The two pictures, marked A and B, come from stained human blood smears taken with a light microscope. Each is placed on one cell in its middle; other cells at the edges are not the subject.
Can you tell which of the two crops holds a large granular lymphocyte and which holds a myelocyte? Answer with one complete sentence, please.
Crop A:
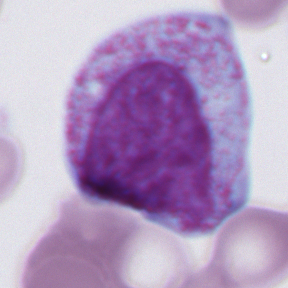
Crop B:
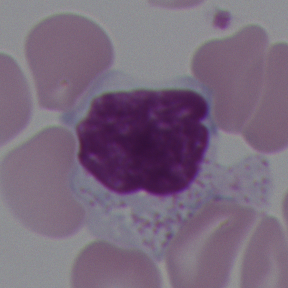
So, crop A is a myelocyte, and crop B is a large granular lymphocyte.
